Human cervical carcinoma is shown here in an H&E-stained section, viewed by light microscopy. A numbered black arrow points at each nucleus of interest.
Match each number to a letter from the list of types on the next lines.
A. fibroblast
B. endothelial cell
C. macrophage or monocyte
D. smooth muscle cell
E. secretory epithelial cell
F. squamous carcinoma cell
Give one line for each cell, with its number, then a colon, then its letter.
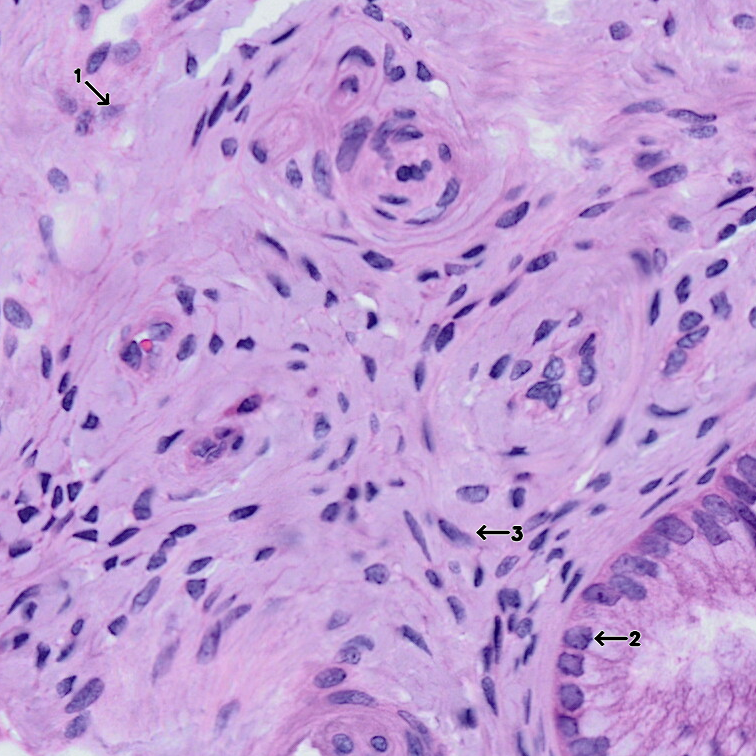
1: D
2: E
3: A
